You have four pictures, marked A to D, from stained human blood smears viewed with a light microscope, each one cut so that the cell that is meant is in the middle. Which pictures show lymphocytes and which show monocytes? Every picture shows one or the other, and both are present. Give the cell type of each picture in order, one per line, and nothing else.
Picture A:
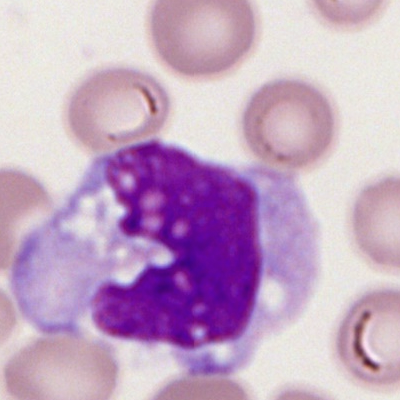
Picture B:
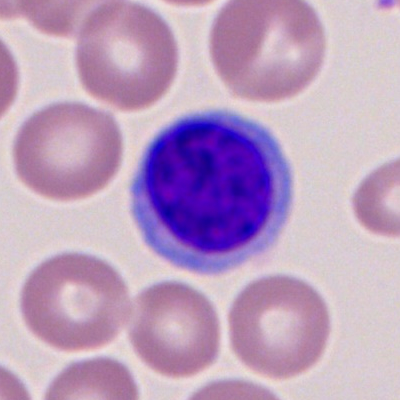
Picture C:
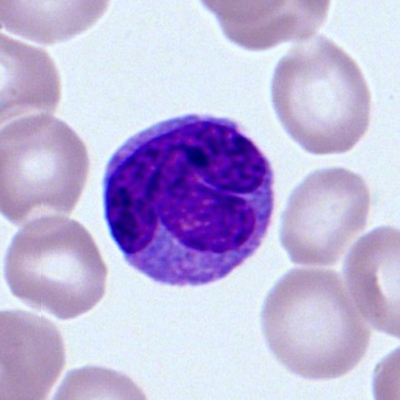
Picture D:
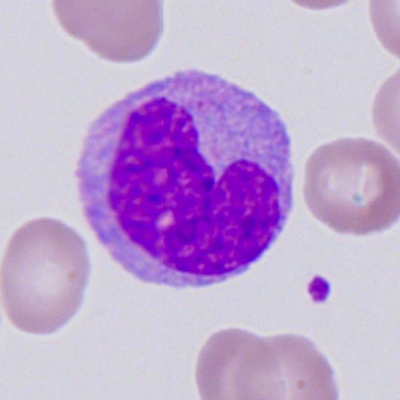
monocyte
lymphocyte
monocyte
monocyte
